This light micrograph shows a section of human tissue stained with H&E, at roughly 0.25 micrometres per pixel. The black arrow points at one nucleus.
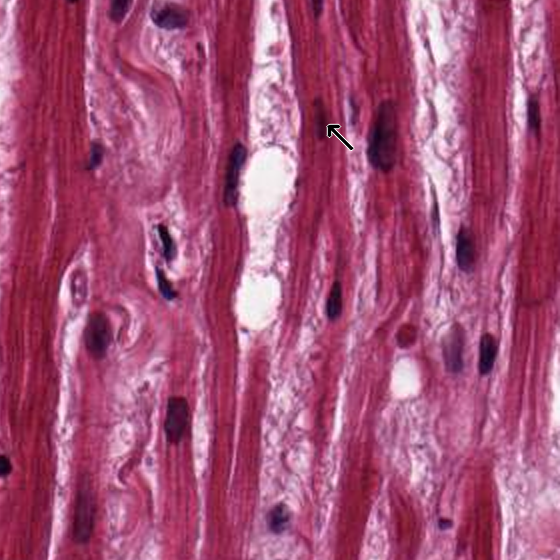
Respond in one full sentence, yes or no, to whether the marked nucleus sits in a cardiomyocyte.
Yes, it is a cardiomyocyte to which the marked nucleus belongs.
